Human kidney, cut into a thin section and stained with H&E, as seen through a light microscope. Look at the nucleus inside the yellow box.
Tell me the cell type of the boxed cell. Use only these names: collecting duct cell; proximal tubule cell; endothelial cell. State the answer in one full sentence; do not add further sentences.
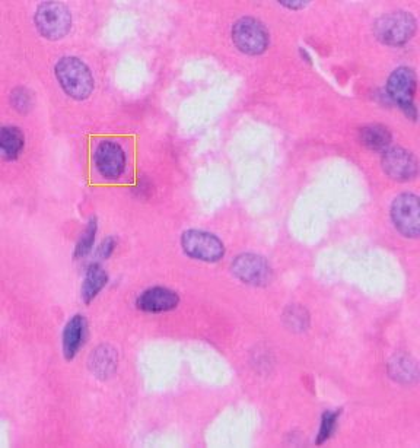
Cell type answer for this item: the boxed cell is a proximal tubule cell.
